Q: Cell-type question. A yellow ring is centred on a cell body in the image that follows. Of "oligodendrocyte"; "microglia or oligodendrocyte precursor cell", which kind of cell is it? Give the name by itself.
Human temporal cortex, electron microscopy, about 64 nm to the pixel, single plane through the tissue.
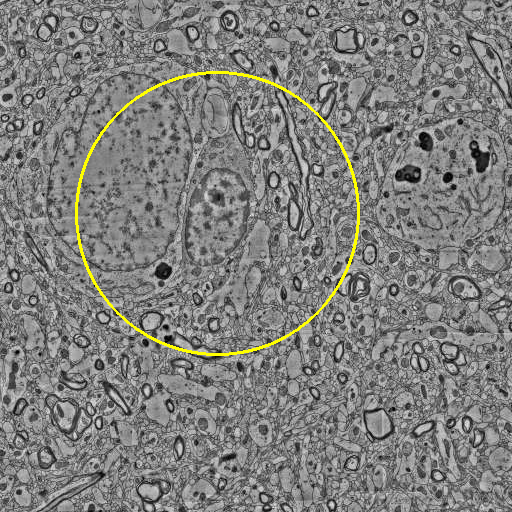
oligodendrocyte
